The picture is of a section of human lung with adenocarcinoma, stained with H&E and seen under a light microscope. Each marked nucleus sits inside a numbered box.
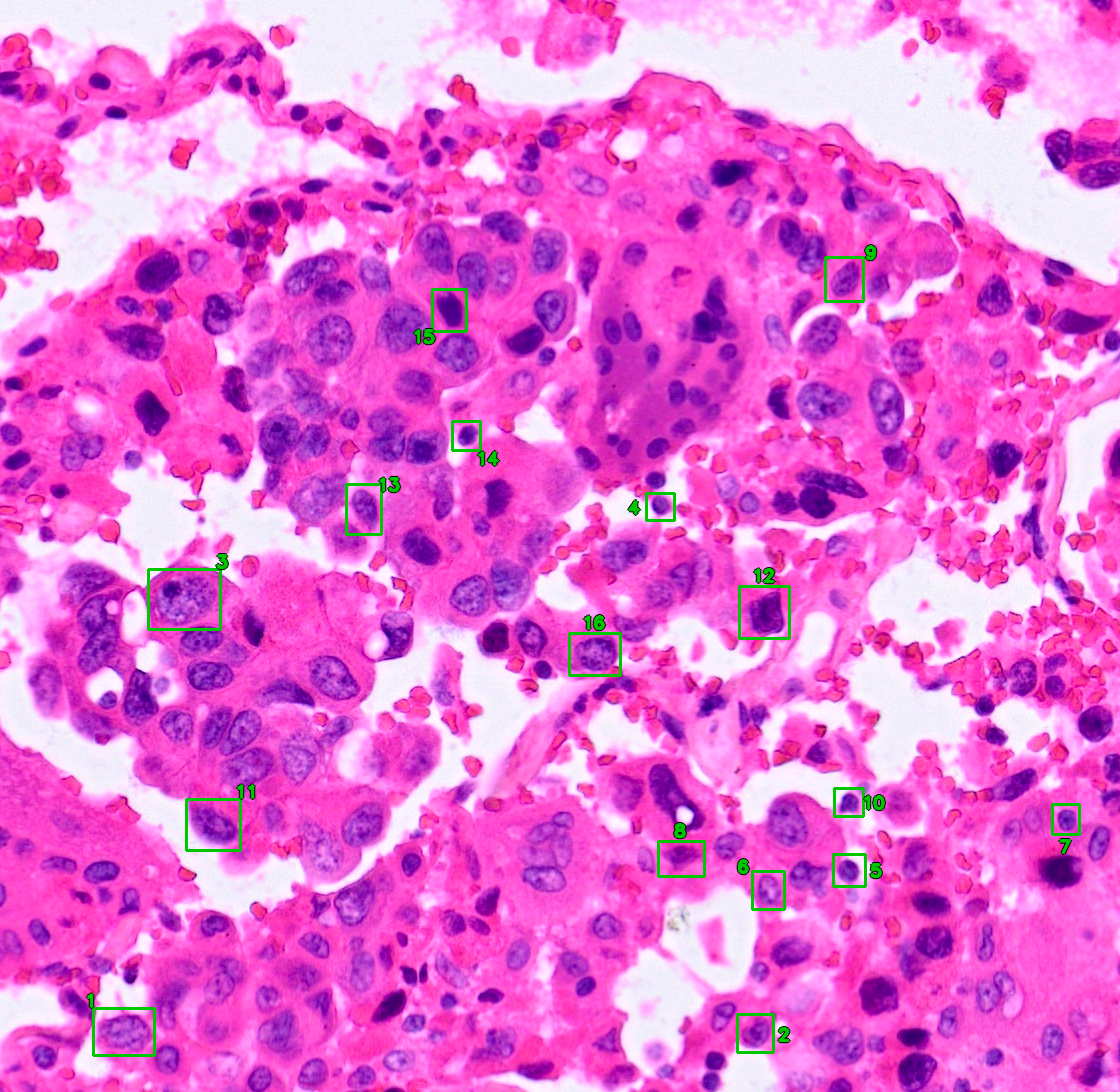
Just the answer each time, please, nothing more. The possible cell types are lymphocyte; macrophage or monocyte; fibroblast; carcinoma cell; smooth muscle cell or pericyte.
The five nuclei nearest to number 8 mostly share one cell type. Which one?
macrophage or monocyte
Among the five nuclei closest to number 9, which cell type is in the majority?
carcinoma cell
